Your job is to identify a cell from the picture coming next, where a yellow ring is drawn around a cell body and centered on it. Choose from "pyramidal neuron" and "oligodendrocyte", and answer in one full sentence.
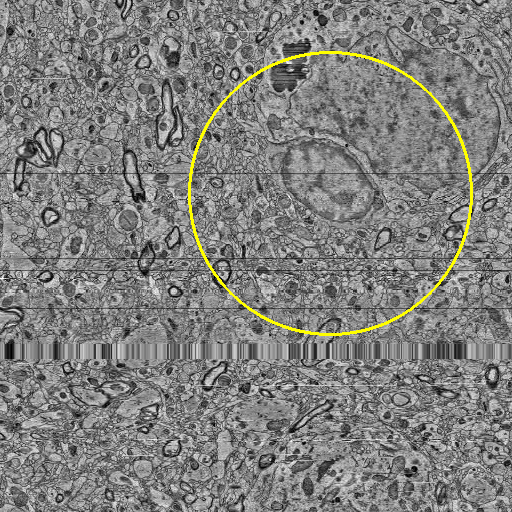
Centered in the yellow ring of the picture is the body of an oligodendrocyte.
